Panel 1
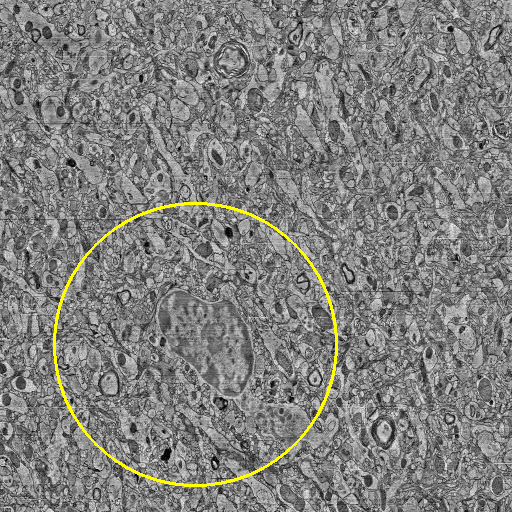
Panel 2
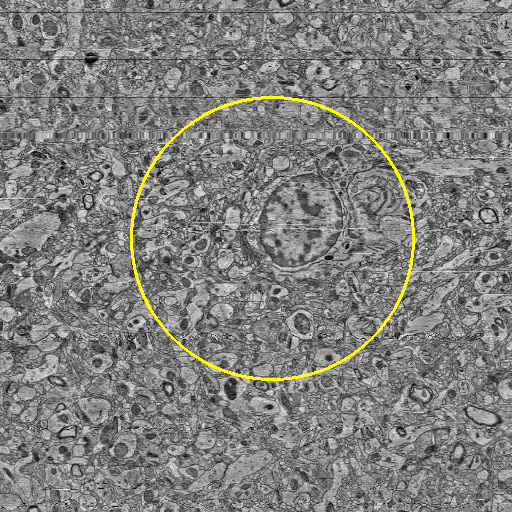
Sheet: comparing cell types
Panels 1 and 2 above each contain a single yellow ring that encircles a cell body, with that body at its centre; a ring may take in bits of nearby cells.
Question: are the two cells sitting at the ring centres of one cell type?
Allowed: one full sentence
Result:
Yes, the ring-centre cells in Panel 1 and Panel 2 are of one type.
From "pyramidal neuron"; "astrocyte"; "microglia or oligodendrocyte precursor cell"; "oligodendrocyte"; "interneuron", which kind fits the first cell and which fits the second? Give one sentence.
In each picture the ringed cell is a microglial cell or oligodendrocyte precursor cell.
